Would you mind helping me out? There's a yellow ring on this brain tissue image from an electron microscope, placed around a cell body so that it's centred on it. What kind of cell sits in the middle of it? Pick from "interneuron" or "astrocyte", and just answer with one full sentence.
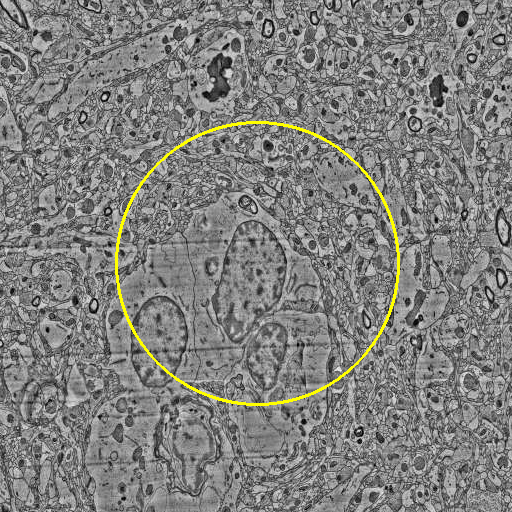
What sits in the middle of that yellow ring is an astrocyte, from your choices.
